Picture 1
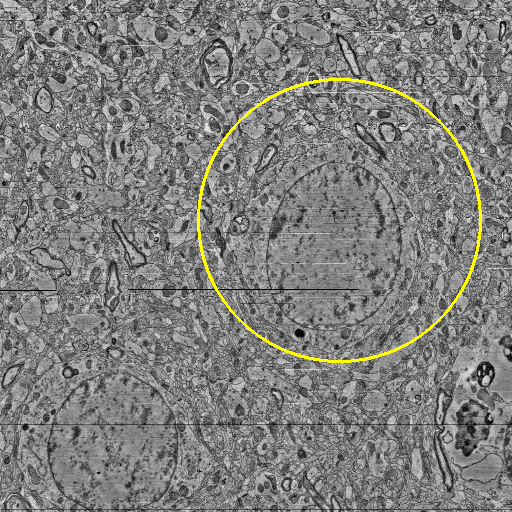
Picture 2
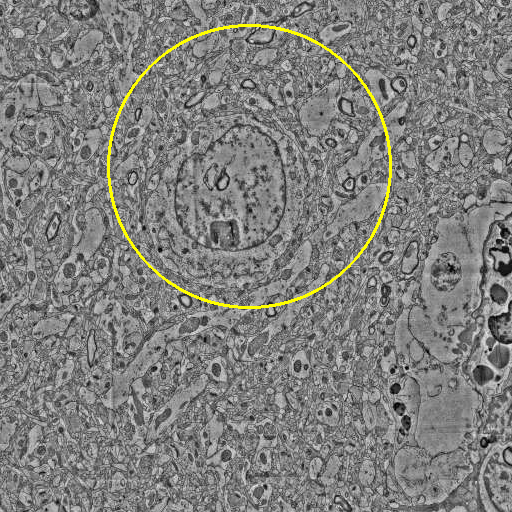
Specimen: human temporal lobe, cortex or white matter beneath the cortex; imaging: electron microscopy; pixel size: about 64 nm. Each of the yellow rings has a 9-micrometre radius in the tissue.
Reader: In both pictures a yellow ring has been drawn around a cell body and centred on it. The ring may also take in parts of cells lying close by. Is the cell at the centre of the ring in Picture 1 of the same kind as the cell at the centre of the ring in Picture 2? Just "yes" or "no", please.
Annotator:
yes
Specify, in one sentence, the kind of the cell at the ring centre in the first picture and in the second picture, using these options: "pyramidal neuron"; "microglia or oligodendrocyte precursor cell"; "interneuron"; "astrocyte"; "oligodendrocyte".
Both pictures show a pyramidal neuron at the centre of the ring.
